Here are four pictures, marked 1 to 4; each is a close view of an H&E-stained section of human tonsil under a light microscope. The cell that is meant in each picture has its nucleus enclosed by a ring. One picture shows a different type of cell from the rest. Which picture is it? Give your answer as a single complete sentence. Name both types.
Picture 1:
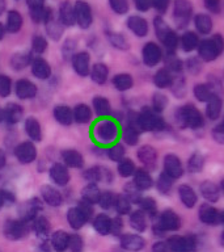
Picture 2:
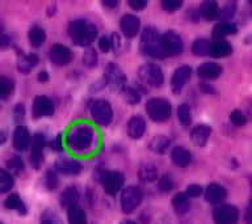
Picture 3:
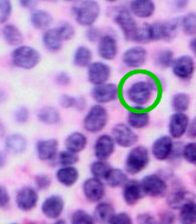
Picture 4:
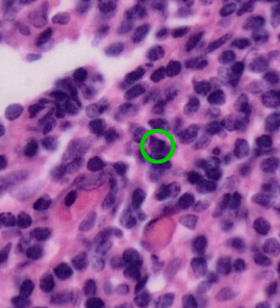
The different one is picture 2; it shows a plasma cell, whereas all the others show small lymphocytes.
